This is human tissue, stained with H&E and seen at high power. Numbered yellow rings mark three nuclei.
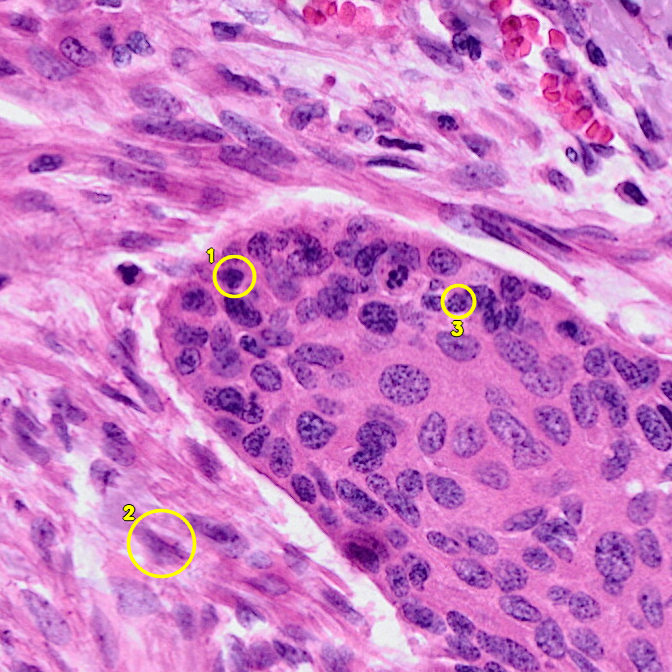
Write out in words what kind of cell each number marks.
Cells 1 and 3 are squamous carcinoma cells. Cell 2 is a fibroblast.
